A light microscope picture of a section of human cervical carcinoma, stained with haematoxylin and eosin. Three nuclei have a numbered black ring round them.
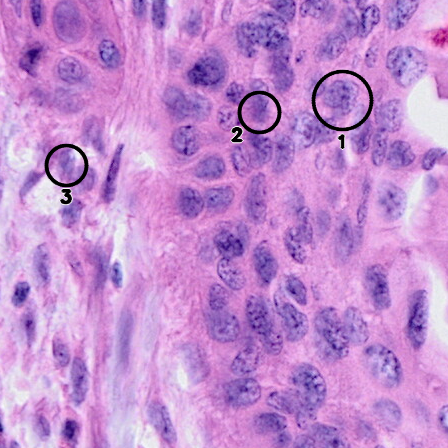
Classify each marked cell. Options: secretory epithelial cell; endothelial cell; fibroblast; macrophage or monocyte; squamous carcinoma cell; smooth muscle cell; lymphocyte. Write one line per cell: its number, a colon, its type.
1: squamous carcinoma cell
2: squamous carcinoma cell
3: fibroblast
